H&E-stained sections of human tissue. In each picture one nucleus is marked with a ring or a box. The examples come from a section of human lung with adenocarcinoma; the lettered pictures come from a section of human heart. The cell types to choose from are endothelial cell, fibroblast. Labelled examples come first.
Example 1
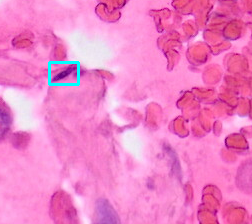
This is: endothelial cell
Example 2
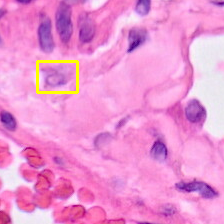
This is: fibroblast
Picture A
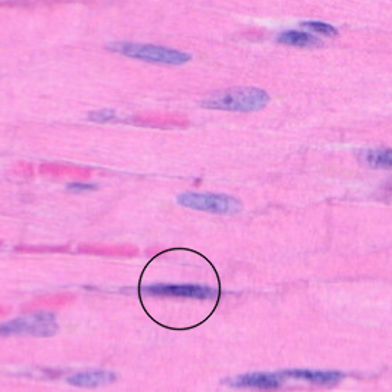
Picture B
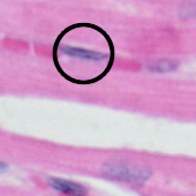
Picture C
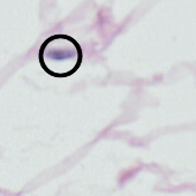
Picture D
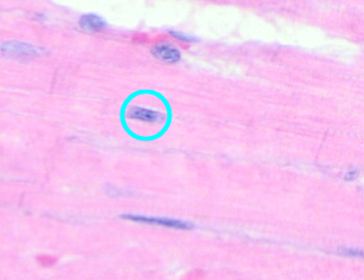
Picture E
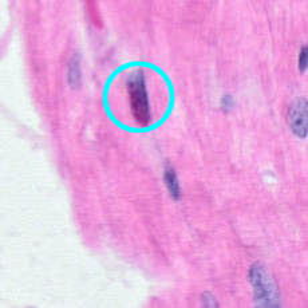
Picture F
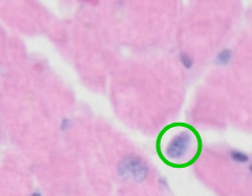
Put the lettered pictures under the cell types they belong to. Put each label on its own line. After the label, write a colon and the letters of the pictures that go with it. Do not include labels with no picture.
endothelial cell: A, B, D, E
fibroblast: C, F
